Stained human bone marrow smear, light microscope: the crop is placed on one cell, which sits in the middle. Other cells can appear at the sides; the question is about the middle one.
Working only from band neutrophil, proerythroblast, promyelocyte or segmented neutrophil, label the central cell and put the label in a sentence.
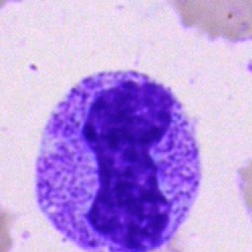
The cell that lies at the centre of the crop is a band neutrophil.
